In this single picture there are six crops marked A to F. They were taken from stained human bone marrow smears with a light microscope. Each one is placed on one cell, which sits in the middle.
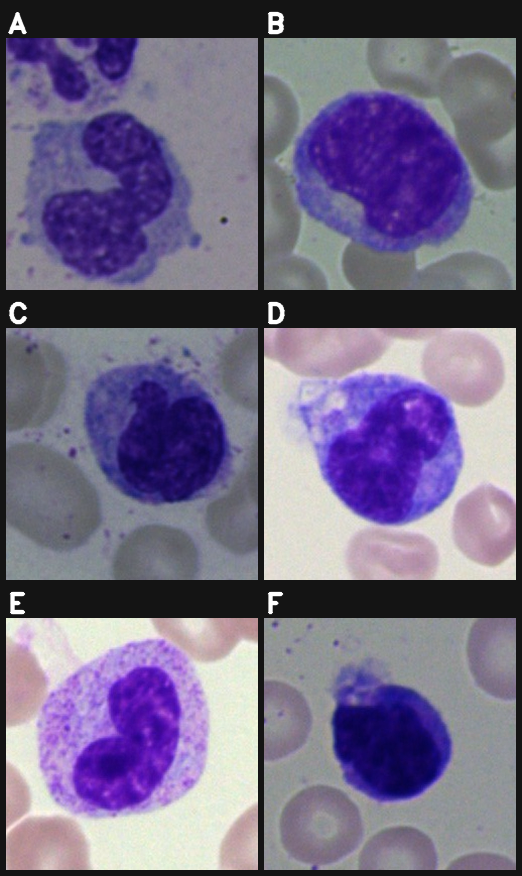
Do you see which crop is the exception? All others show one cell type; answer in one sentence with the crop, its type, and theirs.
Shown in crop E is a metamyelocyte, in contrast to the monocytes of all the other crops.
